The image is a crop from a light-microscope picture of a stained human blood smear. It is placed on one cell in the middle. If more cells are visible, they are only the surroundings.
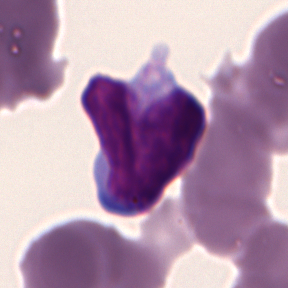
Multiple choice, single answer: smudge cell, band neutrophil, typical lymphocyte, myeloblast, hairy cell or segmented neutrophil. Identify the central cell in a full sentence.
The cell centred in this crop is categorized as a myeloblast.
